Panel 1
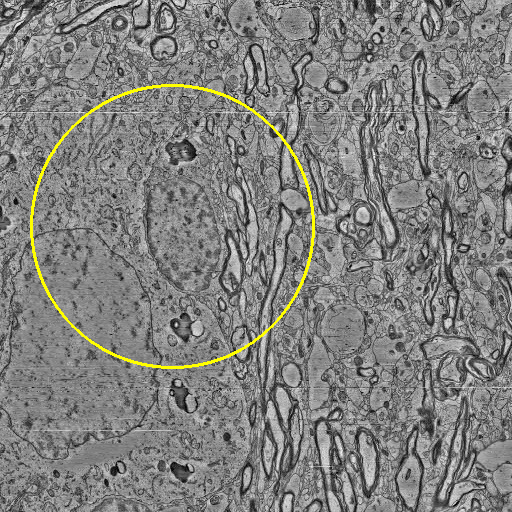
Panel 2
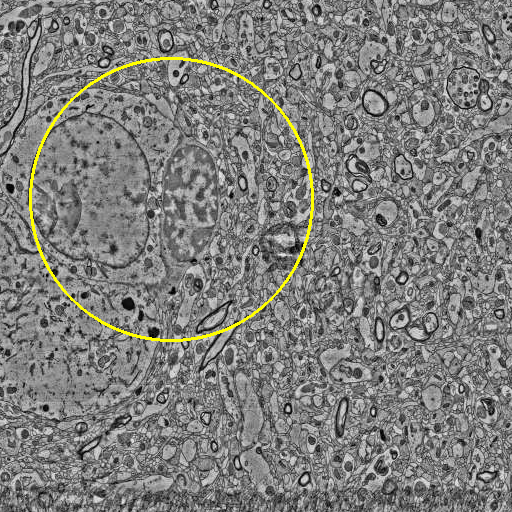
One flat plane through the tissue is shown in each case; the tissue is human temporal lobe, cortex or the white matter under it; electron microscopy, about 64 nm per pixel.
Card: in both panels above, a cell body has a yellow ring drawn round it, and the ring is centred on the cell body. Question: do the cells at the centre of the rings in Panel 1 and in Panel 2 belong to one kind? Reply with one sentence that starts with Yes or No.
Yes, the cells centred in the rings of Panel 1 and Panel 2 are one kind of cell.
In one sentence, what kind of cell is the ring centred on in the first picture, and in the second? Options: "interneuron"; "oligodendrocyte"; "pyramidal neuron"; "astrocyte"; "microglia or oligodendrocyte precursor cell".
In both pictures the ring is centred on an oligodendrocyte.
